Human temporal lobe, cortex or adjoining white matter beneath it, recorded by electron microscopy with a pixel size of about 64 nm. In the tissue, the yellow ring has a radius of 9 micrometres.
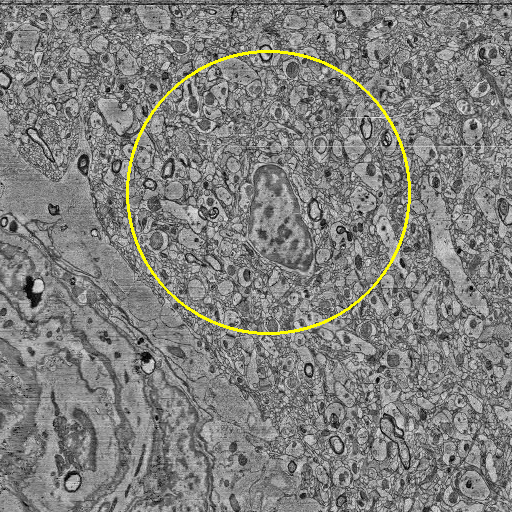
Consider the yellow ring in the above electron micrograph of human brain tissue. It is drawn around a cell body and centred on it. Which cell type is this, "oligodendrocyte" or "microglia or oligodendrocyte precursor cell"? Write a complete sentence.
The cell in question is a microglial cell or oligodendrocyte precursor cell.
